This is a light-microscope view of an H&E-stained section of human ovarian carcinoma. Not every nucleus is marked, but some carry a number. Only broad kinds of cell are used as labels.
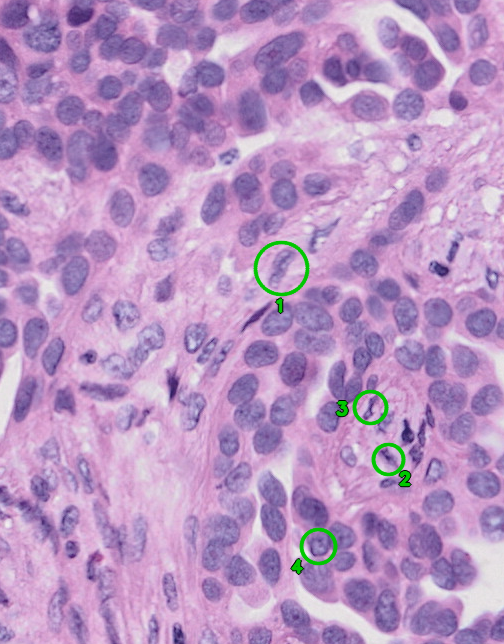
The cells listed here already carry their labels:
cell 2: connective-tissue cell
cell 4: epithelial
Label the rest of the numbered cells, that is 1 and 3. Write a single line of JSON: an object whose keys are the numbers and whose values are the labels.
{"1": "connective-tissue cell", "3": "connective-tissue cell"}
